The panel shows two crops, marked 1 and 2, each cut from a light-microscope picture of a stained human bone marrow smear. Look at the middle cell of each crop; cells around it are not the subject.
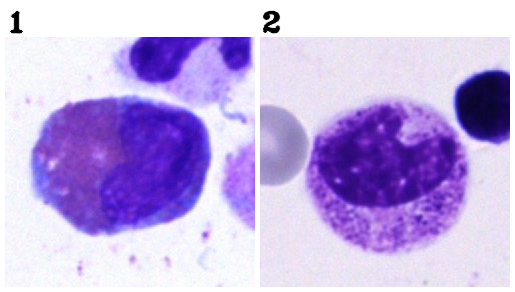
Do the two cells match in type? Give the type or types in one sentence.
No, crop 1 captures an eosinophil; meanwhile crop 2 captures a metamyelocyte.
